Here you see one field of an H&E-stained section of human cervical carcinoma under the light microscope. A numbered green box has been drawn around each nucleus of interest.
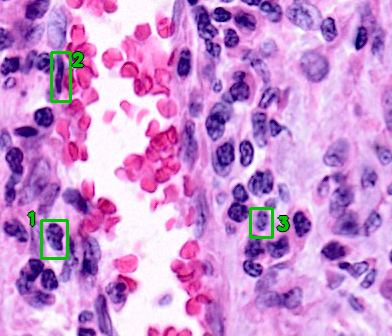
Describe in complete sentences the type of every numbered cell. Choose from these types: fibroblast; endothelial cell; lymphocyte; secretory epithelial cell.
Cell 1 is a lymphocyte, cell 2 is an endothelial cell and cell 3 is a lymphocyte.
